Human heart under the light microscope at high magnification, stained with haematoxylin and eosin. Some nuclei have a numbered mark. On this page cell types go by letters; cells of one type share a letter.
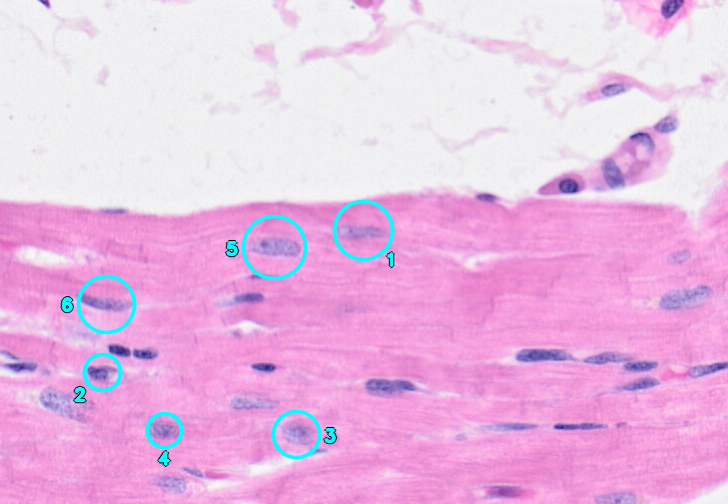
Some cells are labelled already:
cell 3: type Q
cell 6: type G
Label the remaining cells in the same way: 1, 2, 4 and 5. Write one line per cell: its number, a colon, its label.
1: type Q
2: type G
4: type Q
5: type Q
